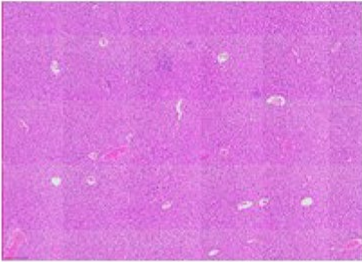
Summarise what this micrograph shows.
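This low-power section shows liver parenchyma as a continuous, evenly stained pink-purple sheet. Small round or slit-like vessel lumina are scattered at fairly regular intervals through the tissue. Some vessels contain pink-red material consistent with blood. There are no large empty spaces or cysts, and the tissue is uniform from edge to edge.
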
